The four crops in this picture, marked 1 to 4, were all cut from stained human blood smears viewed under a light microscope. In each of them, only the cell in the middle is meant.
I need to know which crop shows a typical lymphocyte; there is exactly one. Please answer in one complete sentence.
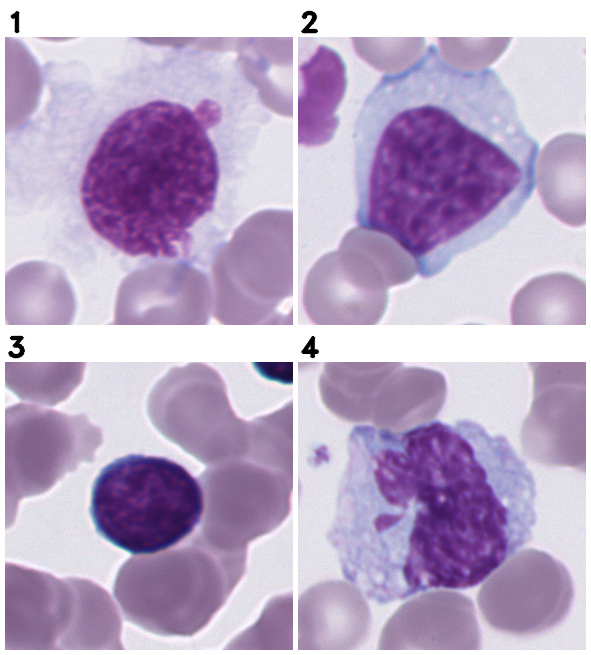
Selected crop: 3, which is the one that shows a typical lymphocyte.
